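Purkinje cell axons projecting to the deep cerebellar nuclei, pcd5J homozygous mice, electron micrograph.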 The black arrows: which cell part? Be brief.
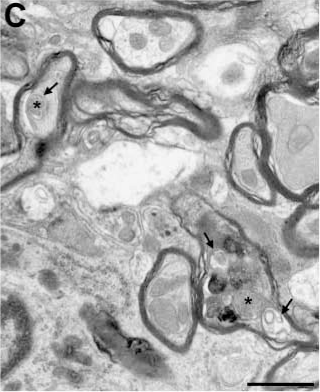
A: Autophagosome-like structures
